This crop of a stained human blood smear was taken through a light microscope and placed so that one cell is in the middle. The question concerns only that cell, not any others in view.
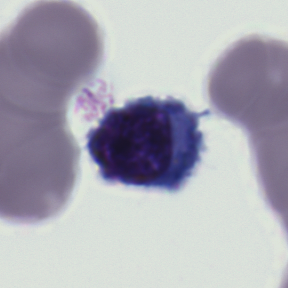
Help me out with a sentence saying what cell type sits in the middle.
The cell centered in this field of view is a plasma cell.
